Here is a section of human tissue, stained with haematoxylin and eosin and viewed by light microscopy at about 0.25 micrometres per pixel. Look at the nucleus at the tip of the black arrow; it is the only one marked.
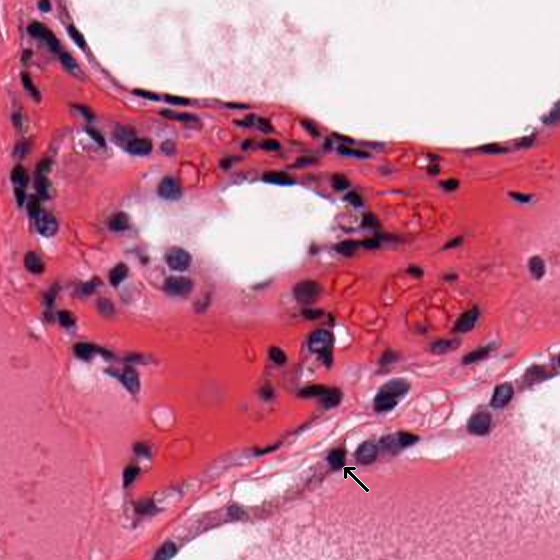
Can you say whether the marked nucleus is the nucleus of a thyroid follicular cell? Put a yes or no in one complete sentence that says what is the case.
Yes, the marked nucleus represents the nucleus of a thyroid follicular cell.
